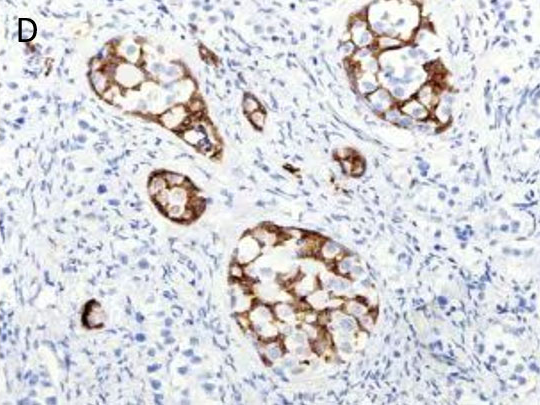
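The brown cells form rims and strands that outline larger pale cells with clear cytoplasm within each nest. The pale cells and their nuclei stay unstained, blue to colourless. Around the nests the stroma holds spindle cells with blue nuclei and no brown stain.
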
